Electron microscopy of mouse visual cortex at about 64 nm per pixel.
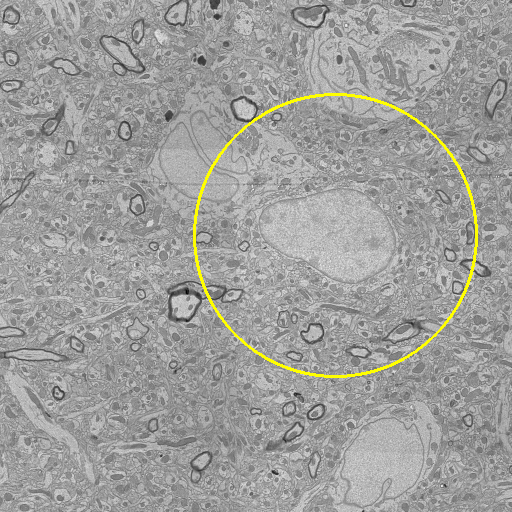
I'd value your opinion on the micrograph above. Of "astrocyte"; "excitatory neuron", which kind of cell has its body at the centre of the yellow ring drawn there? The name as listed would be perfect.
astrocyte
